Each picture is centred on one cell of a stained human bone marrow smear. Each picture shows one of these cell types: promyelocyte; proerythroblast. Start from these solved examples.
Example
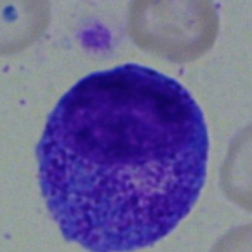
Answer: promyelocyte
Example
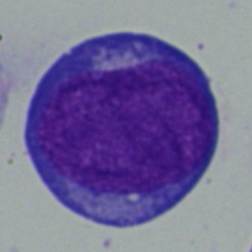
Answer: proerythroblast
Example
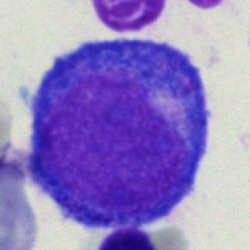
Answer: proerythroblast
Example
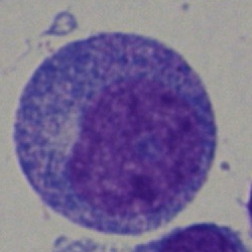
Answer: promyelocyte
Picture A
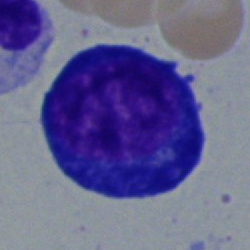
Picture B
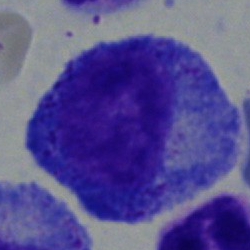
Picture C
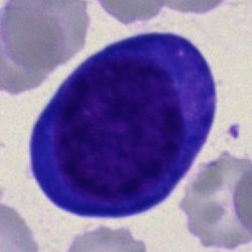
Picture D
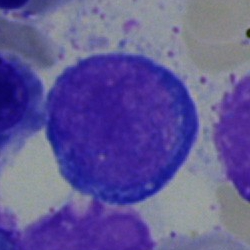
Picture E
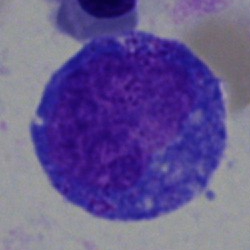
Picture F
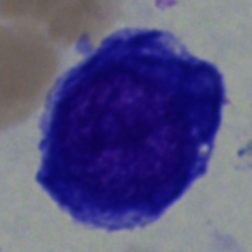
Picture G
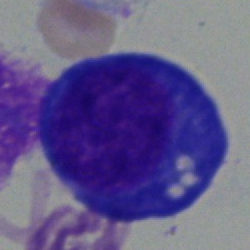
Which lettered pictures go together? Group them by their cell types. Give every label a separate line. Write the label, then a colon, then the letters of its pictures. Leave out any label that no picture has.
promyelocyte: B
proerythroblast: A, C, D, E, F, G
